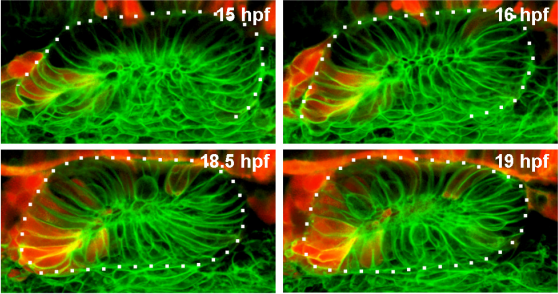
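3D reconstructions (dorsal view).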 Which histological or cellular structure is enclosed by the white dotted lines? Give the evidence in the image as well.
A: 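The dotted line encloses an oval cluster of green-outlined cells. The elongated cells inside it are arranged radially, converging towards its centre.
Otic vesicle.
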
